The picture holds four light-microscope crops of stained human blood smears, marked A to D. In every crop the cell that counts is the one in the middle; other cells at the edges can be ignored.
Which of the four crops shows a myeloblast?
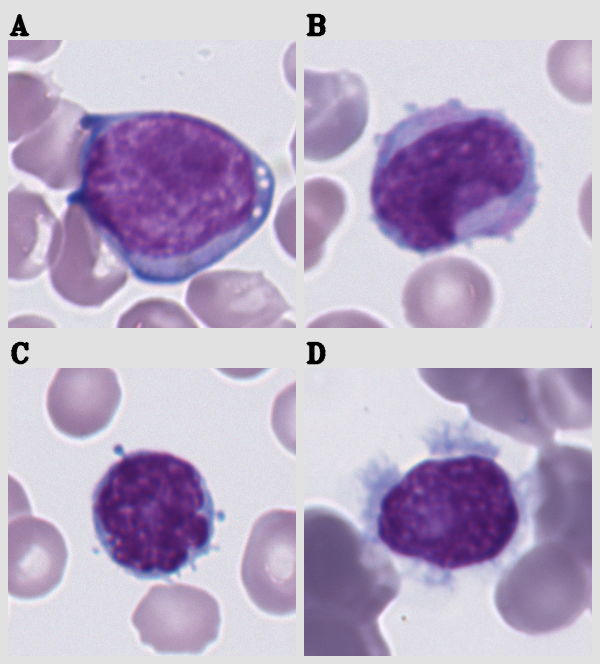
A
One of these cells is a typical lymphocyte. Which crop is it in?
C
